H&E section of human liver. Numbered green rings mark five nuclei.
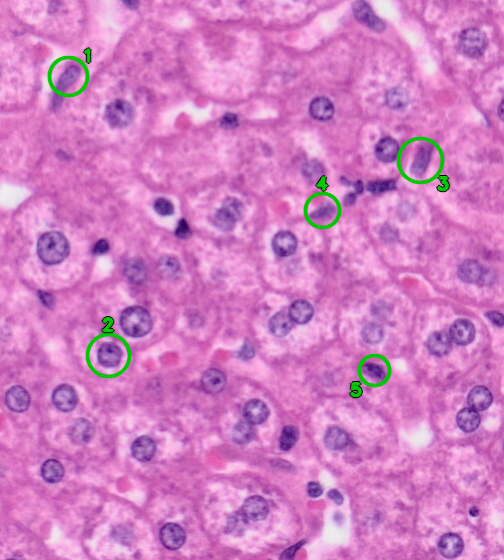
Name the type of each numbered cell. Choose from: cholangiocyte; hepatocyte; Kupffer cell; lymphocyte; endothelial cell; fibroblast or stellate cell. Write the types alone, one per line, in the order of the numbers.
Kupffer cell
hepatocyte
Kupffer cell
endothelial cell
fibroblast or stellate cell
